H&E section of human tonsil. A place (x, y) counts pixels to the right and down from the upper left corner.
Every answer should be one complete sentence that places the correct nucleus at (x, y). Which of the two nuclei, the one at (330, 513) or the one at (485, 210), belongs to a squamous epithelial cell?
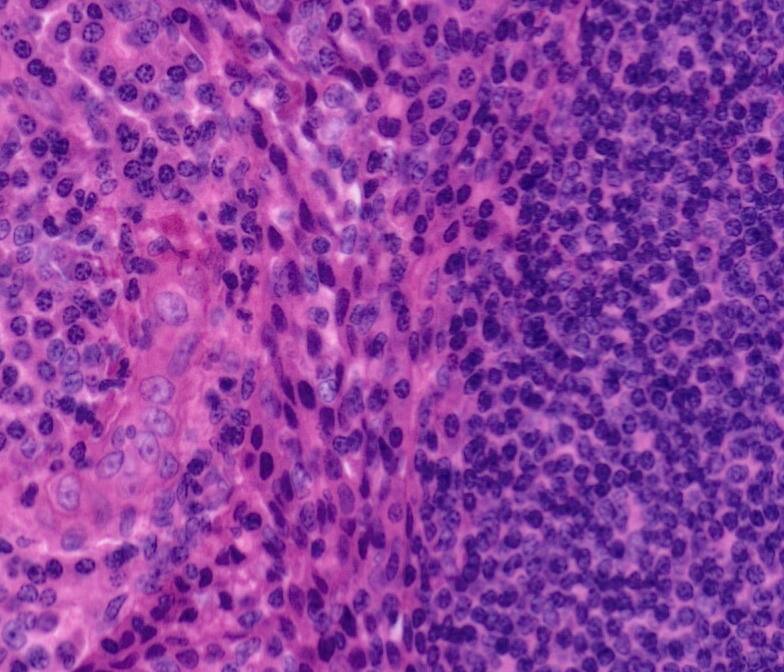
The nucleus at (330, 513) is assigned to a squamous epithelial cell.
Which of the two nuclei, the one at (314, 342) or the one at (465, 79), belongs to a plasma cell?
The nucleus located at (465, 79) is the one held within a plasma cell.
